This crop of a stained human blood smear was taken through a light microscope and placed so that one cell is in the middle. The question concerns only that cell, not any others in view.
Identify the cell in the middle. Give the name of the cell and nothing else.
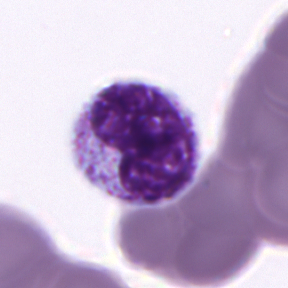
metamyelocyte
